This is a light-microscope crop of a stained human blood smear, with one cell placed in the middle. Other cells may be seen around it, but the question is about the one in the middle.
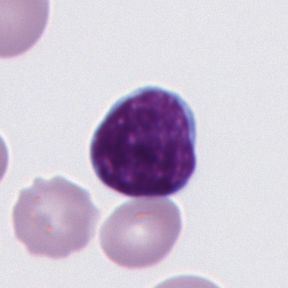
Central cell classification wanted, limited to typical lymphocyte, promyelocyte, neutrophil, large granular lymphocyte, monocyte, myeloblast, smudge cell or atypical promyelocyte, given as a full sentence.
Of the cells in this crop, the central one is a typical lymphocyte.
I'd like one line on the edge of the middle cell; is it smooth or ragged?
Worth noting that the cell border is smooth and lacks projections.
